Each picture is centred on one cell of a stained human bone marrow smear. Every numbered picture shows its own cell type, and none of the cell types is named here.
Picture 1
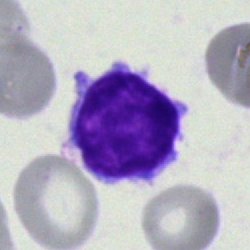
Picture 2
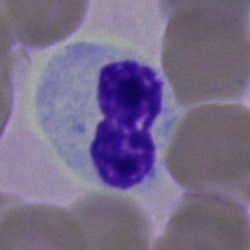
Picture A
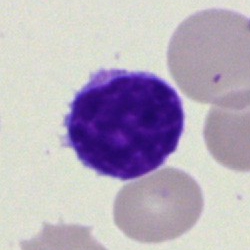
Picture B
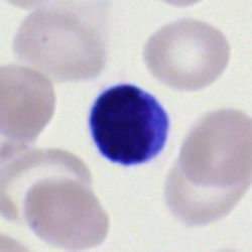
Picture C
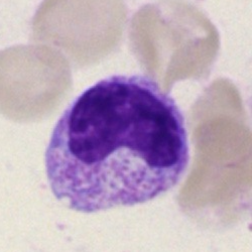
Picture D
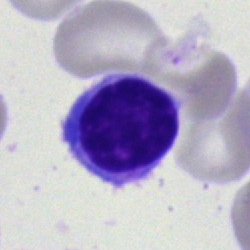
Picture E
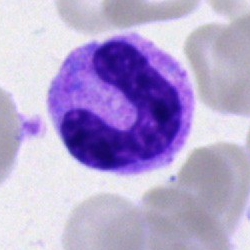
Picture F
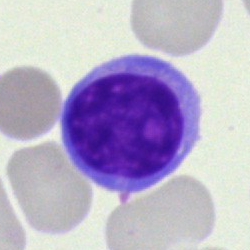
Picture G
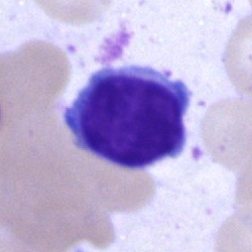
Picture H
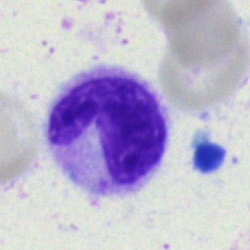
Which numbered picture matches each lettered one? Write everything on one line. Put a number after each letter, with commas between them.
A 1, B 1, C 2, D 1, E 2, F 1, G 1, H 2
